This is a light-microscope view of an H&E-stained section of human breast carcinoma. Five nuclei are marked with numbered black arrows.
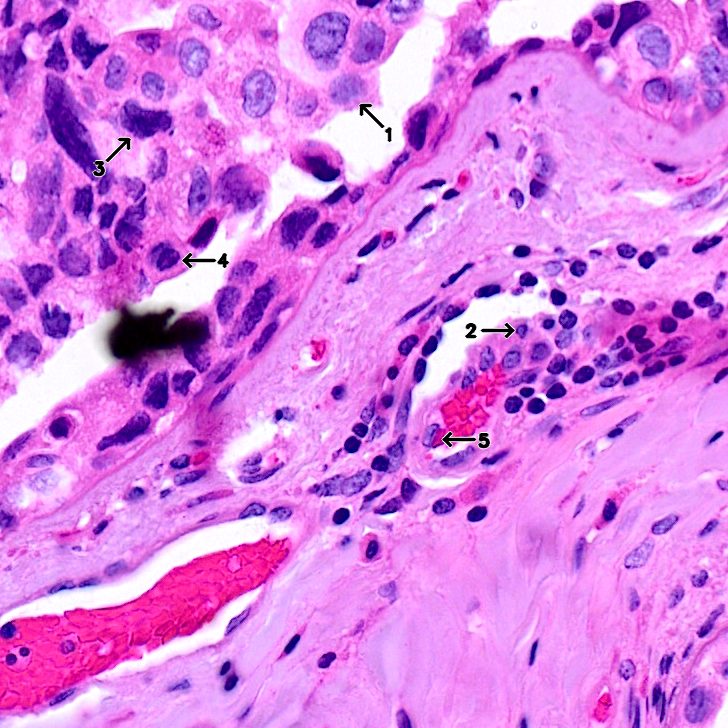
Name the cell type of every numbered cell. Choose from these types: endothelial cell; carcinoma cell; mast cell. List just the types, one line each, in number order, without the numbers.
carcinoma cell
endothelial cell
carcinoma cell
carcinoma cell
endothelial cell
